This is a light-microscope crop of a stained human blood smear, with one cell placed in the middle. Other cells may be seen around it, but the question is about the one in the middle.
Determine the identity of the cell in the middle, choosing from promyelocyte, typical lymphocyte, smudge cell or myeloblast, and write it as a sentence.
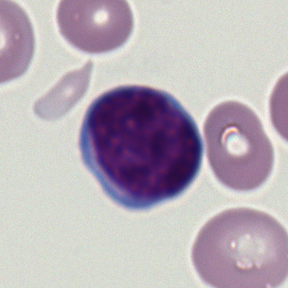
The central cell in this smear crop is a typical lymphocyte.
